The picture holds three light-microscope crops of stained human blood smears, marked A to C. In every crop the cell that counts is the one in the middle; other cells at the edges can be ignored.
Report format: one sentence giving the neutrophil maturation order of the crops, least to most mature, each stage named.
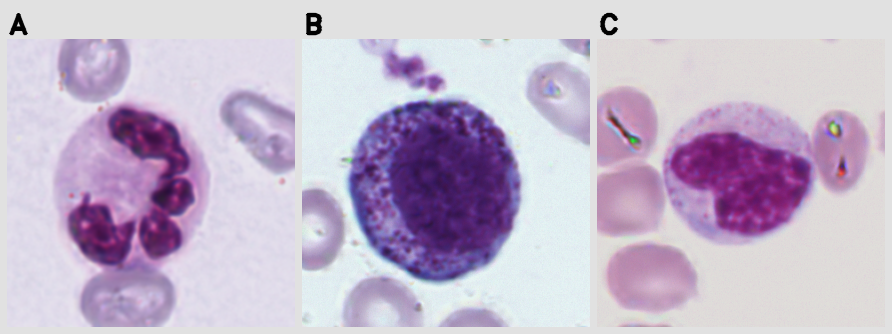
Ranked by maturation stage, earliest first, the crops read crop B (a promyelocyte), crop C (a metamyelocyte) and crop A (a segmented neutrophil).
